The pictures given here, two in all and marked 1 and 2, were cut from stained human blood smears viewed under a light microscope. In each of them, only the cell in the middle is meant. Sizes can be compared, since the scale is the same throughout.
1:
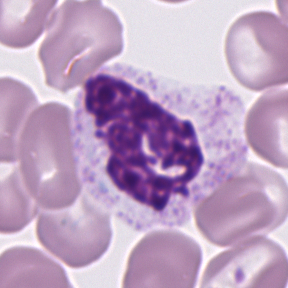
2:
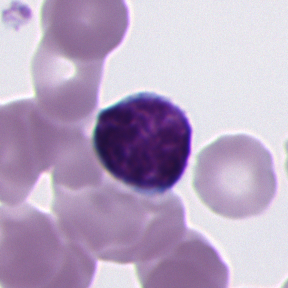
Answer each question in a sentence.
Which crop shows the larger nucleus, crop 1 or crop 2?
Crop 1 shows the larger nucleus; it covers about 1.5 times the area of the nucleus in crop 2.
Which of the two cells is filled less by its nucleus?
In crop 1 the nucleus takes up the smaller part of its cell.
